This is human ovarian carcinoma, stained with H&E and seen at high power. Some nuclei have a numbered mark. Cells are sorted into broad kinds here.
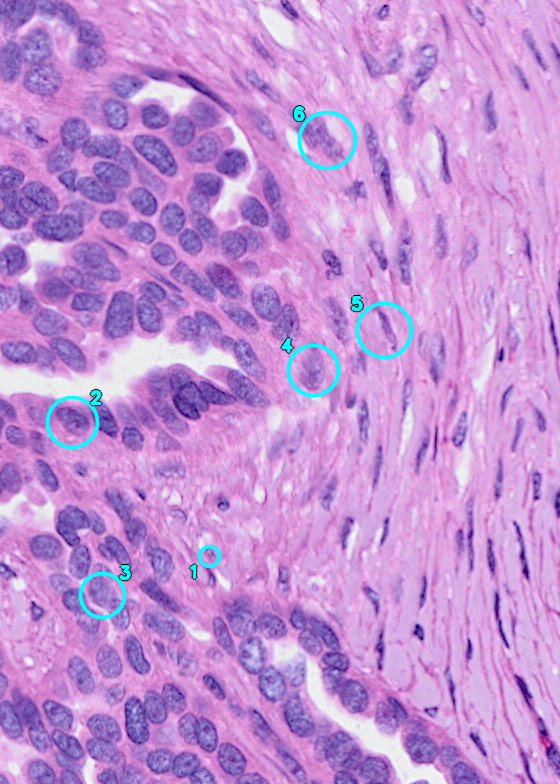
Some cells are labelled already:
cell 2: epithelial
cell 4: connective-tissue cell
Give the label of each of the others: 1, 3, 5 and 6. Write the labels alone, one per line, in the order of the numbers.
connective-tissue cell
epithelial
connective-tissue cell
connective-tissue cell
